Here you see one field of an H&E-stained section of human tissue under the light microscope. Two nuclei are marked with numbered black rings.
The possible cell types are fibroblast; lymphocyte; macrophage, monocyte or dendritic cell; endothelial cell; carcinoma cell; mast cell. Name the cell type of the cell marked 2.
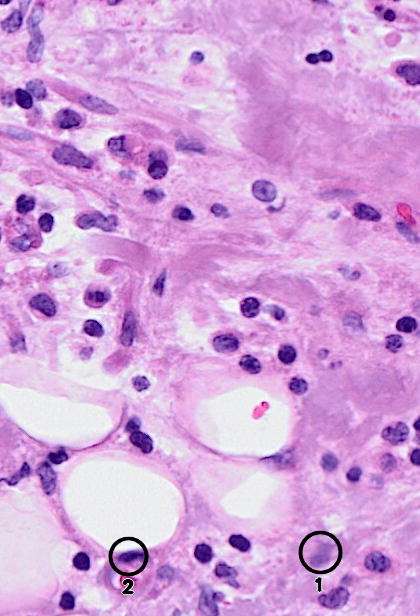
endothelial cell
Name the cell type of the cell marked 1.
fibroblast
